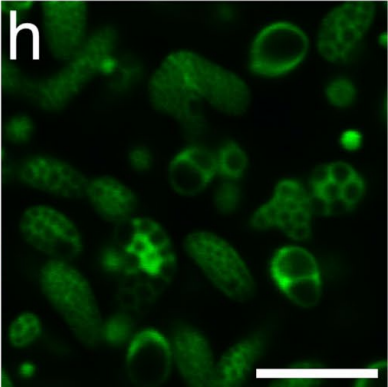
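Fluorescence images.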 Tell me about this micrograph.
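Many bodies are filled with a fine green honeycomb-like network enclosing numerous tiny dark compartments. Some bodies are irregular clusters of small rounded compartments with green walls. Only a few bodies show the smooth single green rim of an undivided oval. Small bright green dots lie scattered between them.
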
